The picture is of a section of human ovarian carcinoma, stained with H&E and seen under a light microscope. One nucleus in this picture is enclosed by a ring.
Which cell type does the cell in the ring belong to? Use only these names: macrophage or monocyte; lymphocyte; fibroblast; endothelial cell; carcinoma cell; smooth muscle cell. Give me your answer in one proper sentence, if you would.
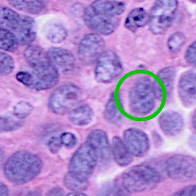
In the tissue under study, the cell in the ring is a carcinoma cell.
